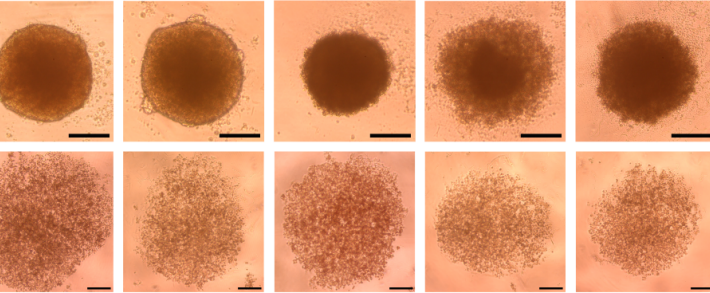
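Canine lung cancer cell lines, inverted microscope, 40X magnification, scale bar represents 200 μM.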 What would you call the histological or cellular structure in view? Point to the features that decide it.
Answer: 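Tumor spheroids. Each image shows a single round three-dimensional aggregate of cells. The aggregates are free-floating masses, not a flat sheet of cells. Loose single rounded cells lie around some aggregates.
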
